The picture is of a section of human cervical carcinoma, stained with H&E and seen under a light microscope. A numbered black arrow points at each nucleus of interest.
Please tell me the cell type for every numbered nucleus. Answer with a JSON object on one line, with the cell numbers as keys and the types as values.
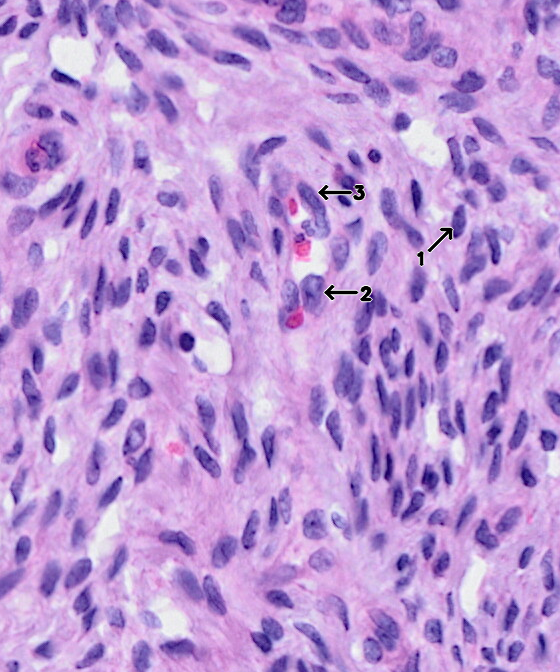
{"1": "fibroblast", "2": "endothelial cell", "3": "endothelial cell"}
